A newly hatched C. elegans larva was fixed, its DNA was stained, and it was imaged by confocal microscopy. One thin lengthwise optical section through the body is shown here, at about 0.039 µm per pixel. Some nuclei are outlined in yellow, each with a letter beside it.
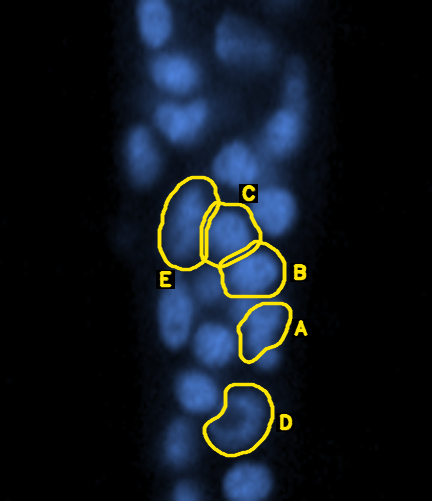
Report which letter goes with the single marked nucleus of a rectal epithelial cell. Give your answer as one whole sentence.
The nucleus of a rectal epithelial cell is E.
